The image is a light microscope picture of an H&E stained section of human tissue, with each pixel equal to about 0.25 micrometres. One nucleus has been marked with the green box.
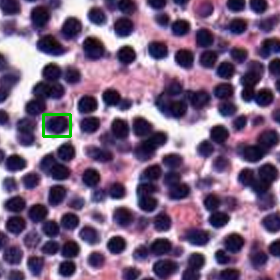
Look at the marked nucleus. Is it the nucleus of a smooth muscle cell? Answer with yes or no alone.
no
